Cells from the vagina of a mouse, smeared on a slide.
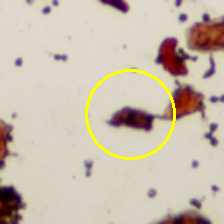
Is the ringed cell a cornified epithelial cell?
Yes, it is a cornified epithelial cell.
